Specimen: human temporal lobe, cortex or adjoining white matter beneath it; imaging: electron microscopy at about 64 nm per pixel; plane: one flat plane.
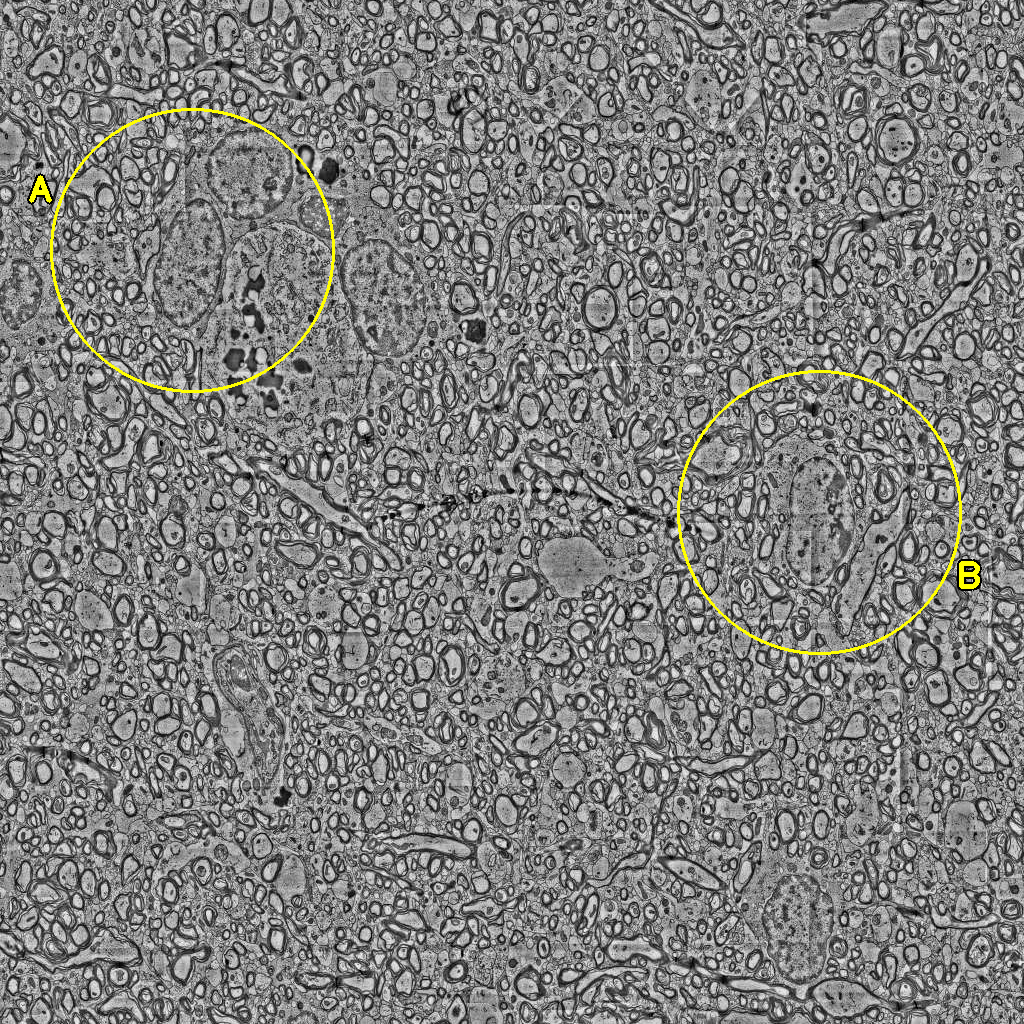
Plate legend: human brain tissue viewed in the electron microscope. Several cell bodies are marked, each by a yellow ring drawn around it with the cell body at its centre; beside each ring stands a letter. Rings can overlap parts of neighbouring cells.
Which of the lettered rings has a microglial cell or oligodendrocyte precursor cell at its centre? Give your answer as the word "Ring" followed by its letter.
Ring B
